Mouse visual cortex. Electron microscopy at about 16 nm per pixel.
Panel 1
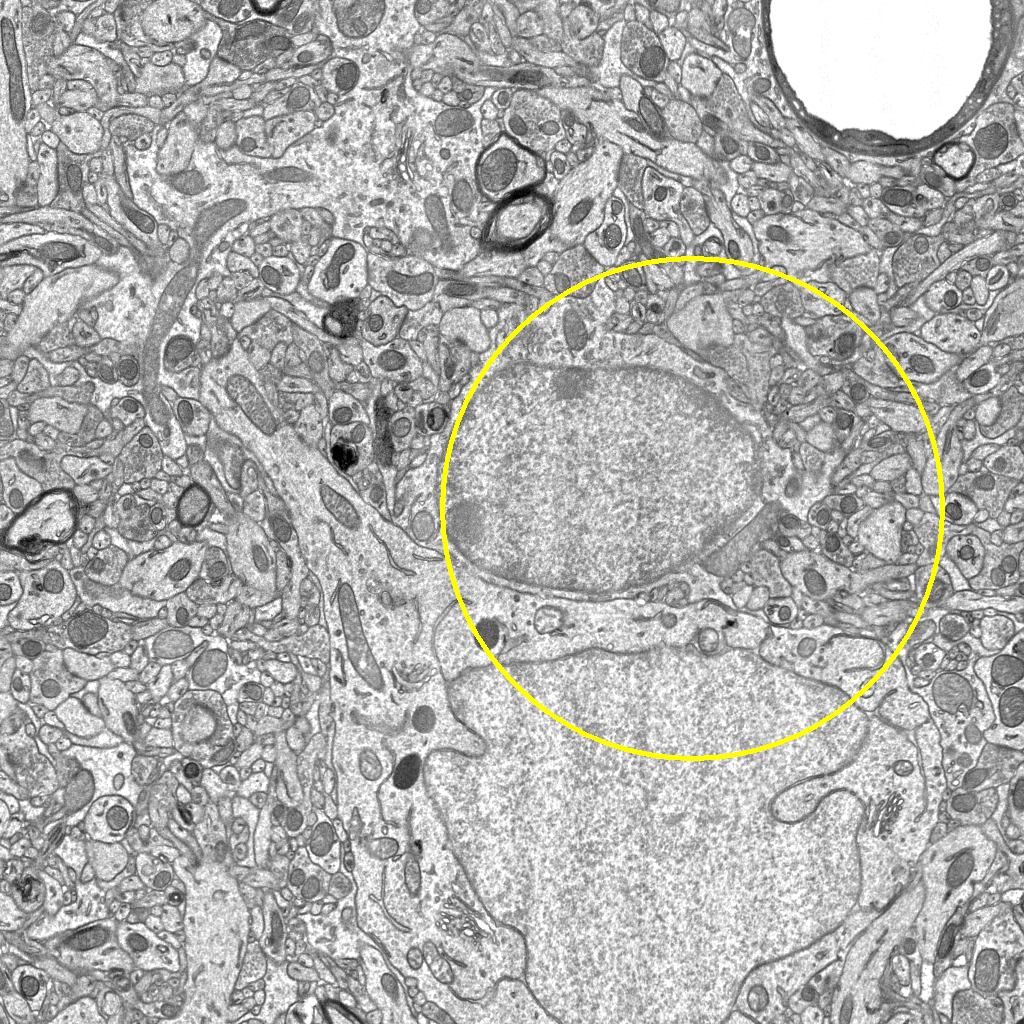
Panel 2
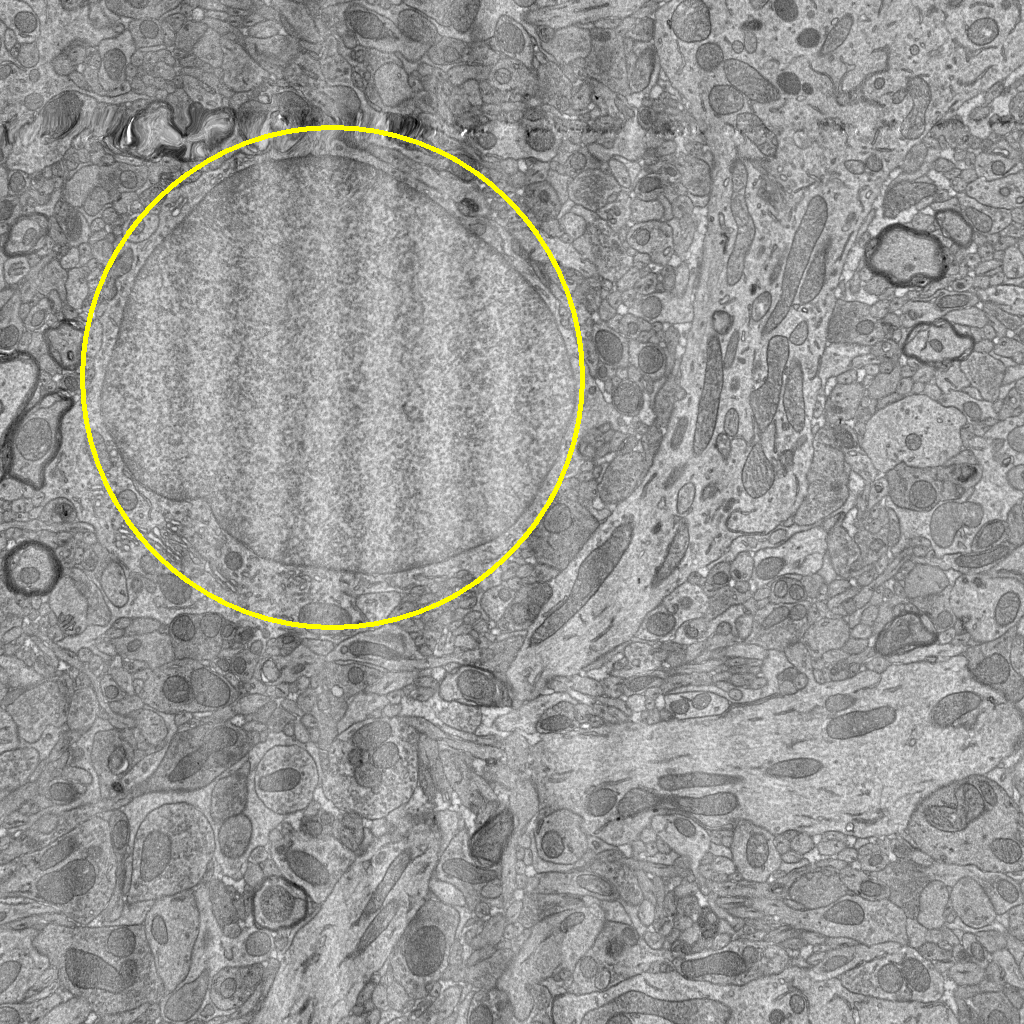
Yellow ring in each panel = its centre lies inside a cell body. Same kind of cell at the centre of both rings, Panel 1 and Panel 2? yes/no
yes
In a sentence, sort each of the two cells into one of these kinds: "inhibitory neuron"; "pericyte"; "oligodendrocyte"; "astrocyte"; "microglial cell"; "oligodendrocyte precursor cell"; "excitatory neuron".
Both cells are the same kind, each one being an astrocyte.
